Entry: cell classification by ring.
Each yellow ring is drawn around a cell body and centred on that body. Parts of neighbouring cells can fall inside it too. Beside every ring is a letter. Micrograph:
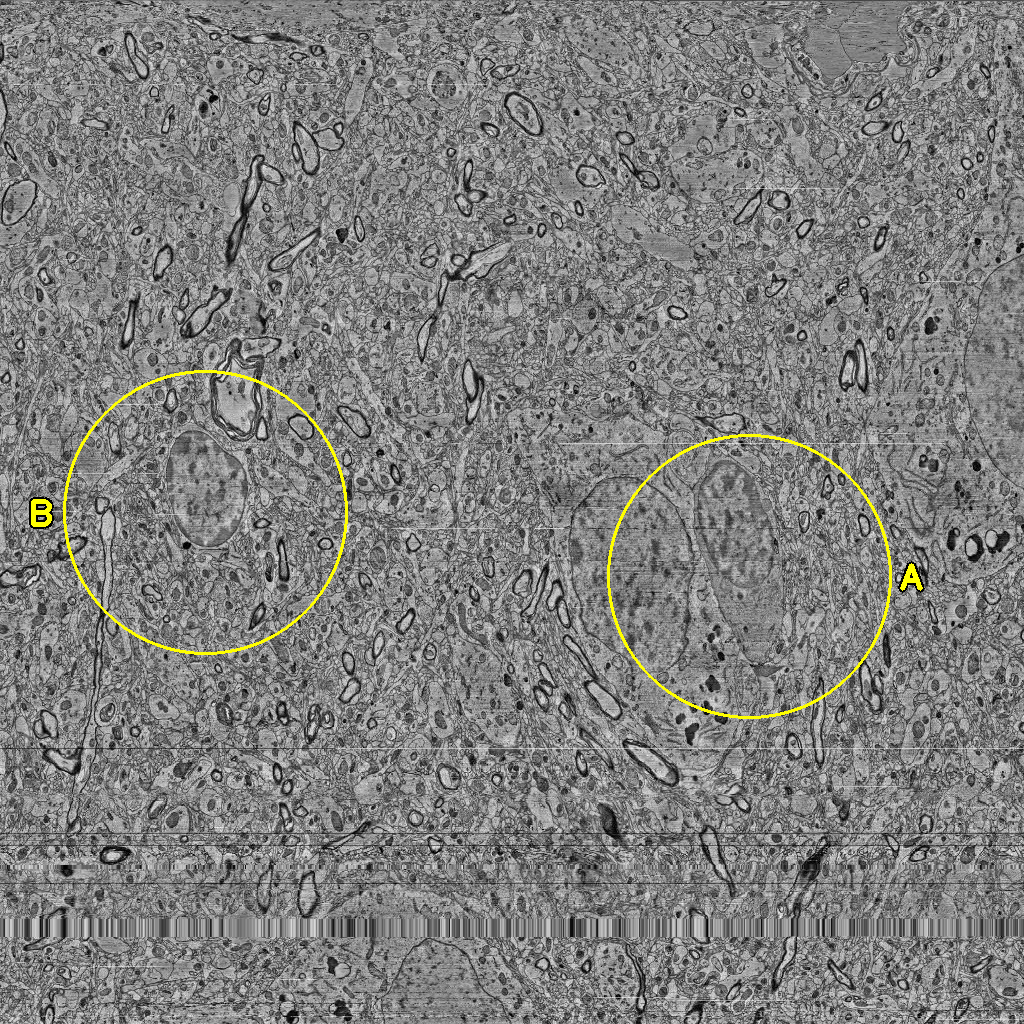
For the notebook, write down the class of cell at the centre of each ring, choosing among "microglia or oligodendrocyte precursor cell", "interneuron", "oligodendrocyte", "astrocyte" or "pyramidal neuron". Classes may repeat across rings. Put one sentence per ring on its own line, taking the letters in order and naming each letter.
Ring A marks an oligodendrocyte.
Ring B marks a microglial cell or oligodendrocyte precursor cell.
